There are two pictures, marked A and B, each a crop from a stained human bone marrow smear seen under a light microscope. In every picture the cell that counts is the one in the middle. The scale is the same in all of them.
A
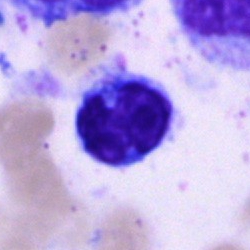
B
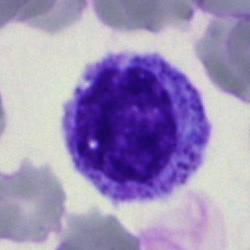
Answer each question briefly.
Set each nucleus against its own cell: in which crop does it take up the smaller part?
B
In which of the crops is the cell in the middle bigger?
B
